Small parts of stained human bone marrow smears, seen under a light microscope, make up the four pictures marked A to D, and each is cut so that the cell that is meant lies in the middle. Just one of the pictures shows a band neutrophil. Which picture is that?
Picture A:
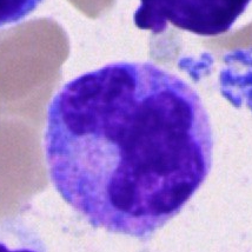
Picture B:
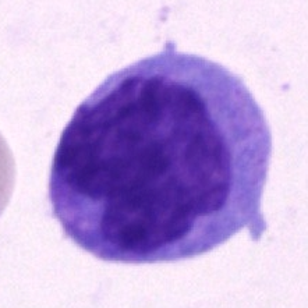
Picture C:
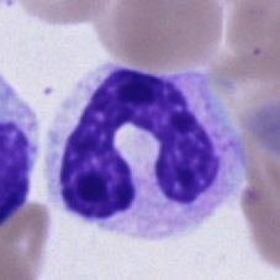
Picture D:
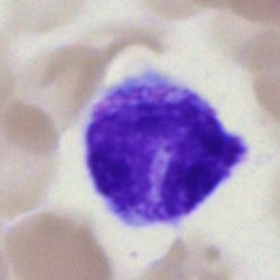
C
